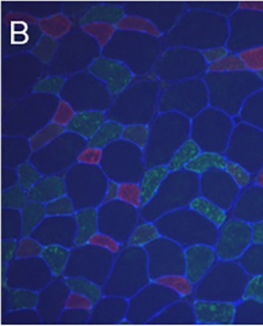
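This is a cross-section of skeletal muscle showing transversely cut muscle fibers. The fibers are polygonal and tightly packed, each bordered by a thin blue outline. Most fibers are dark and unfilled and are comparatively large. A smaller set is filled with a faint, speckled green, and a few small fibers are filled with red. The red and green fibers are scattered singly or in small groups among the dark fibers rather than forming separate regions. Overall, the coloured fill is dimmer than the blue outlines, which stand out clearly around every fiber.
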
